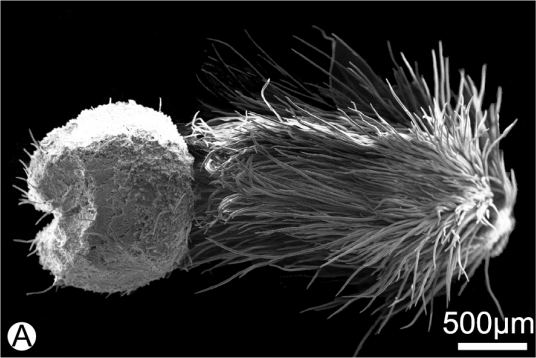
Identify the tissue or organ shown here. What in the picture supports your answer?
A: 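A cylindrical body densely covered with long hairs. A rounded, notched, nearly hairless head at one end.
Conclusion: Carpel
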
